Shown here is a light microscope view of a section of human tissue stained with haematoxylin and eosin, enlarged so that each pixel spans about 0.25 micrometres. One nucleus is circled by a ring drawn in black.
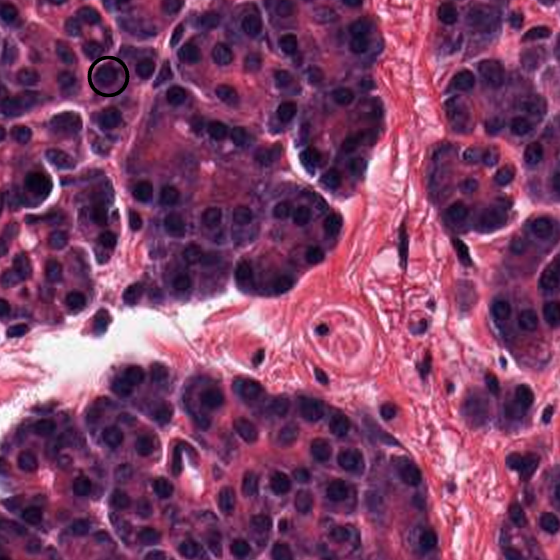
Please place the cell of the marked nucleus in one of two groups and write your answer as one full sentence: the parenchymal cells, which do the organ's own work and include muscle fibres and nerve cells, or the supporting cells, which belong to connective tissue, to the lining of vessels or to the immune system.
The marked nucleus is contained in a parenchymal cell, namely a pancreatic acinar cell.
